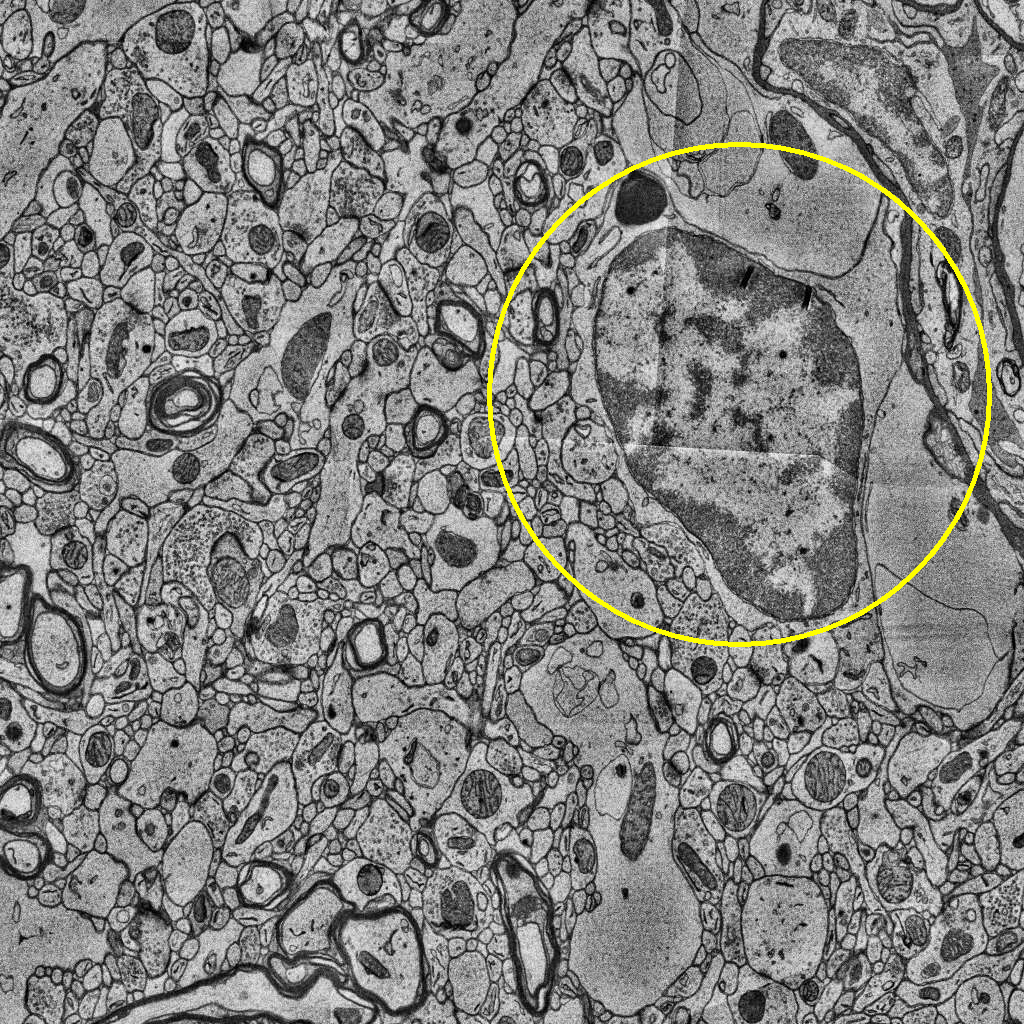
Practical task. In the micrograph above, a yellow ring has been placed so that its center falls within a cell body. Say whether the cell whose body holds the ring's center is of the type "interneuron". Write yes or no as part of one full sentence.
No, the cell whose body holds the ring's center above is of another type.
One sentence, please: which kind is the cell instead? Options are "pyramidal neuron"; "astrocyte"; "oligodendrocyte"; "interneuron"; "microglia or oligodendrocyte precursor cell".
Instead, the cell inside the ring is a microglial cell or oligodendrocyte precursor cell.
